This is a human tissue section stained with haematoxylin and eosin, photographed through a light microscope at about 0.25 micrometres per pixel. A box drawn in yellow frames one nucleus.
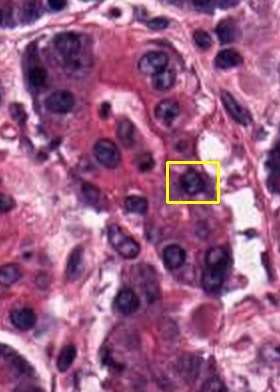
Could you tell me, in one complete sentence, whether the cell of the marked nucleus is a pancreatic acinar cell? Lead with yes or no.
Yes, the marked nucleus belongs to a pancreatic acinar cell.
